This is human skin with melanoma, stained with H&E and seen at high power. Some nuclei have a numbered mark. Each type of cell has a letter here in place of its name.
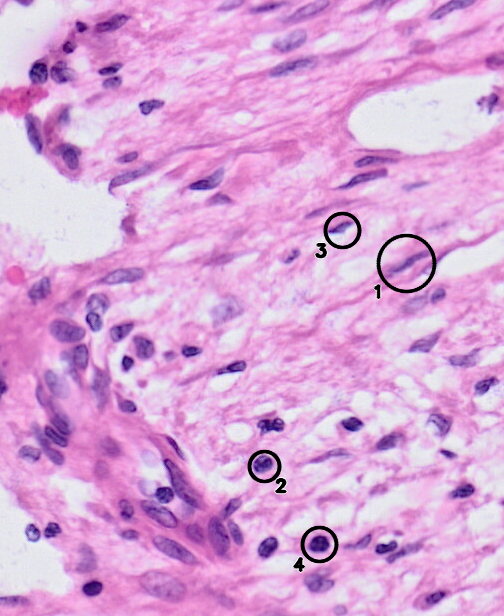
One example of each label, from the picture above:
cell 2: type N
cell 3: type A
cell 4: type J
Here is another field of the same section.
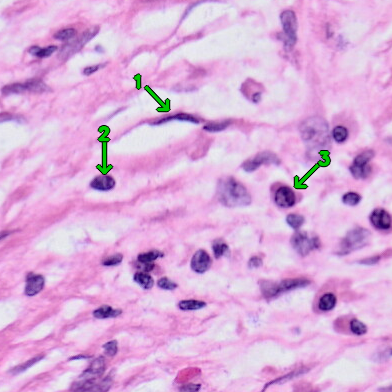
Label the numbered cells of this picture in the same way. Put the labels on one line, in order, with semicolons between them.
type A; type N; type J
